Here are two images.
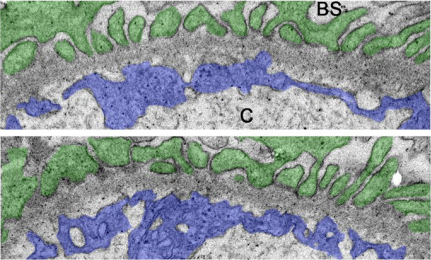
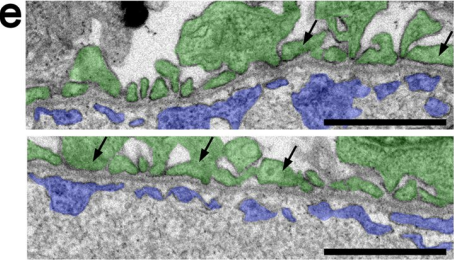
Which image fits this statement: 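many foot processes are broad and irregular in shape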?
the second image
